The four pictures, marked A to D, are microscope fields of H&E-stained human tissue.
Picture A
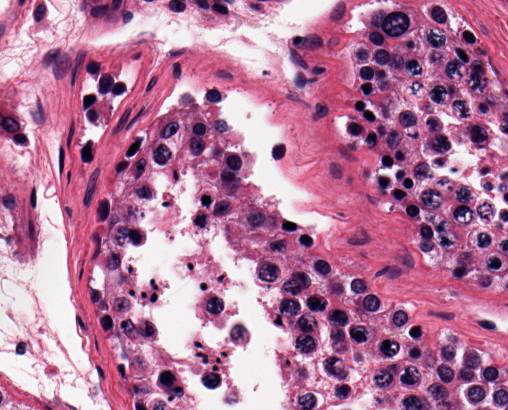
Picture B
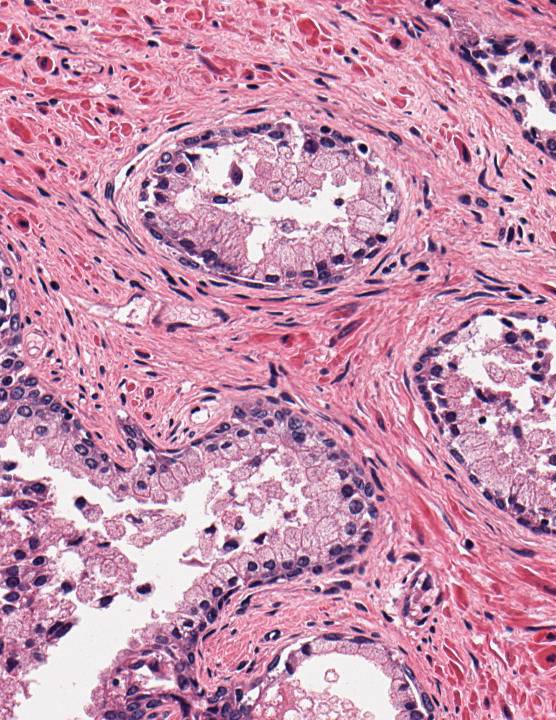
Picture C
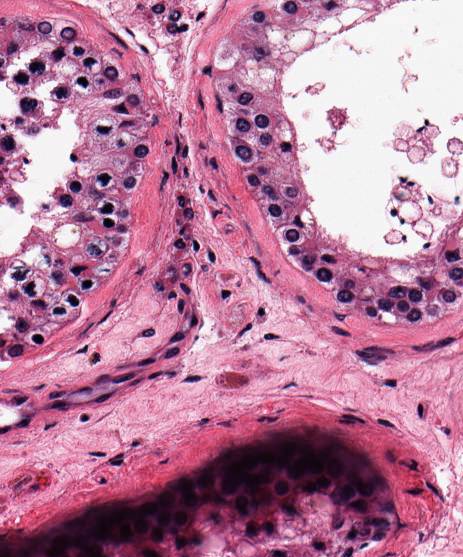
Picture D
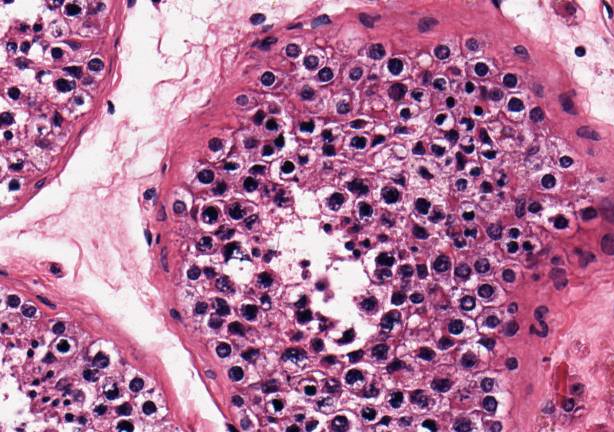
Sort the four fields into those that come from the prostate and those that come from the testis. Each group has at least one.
A: testis
B: prostate
C: testis
D: testis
